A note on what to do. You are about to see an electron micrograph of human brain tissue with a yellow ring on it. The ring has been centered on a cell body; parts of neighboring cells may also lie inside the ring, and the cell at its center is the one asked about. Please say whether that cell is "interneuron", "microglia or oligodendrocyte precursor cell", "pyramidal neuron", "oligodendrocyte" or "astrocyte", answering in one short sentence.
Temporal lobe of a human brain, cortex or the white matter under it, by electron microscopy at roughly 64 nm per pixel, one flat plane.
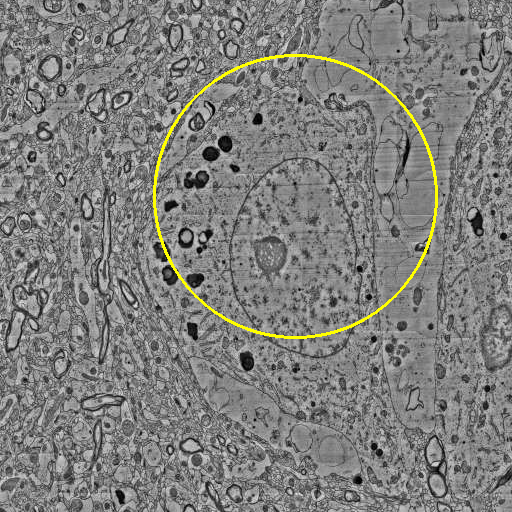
The yellow ring sits on a pyramidal neuron.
